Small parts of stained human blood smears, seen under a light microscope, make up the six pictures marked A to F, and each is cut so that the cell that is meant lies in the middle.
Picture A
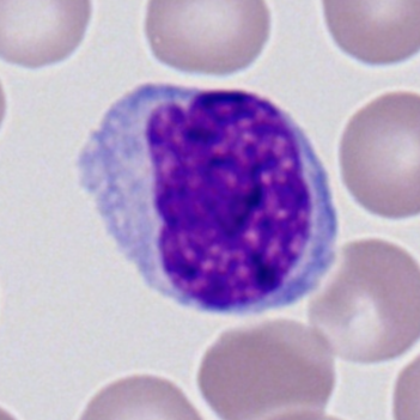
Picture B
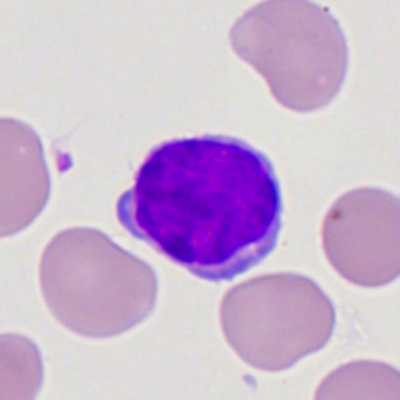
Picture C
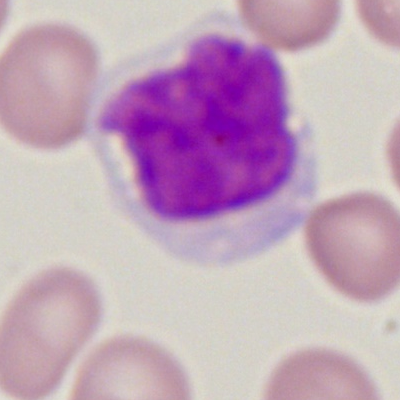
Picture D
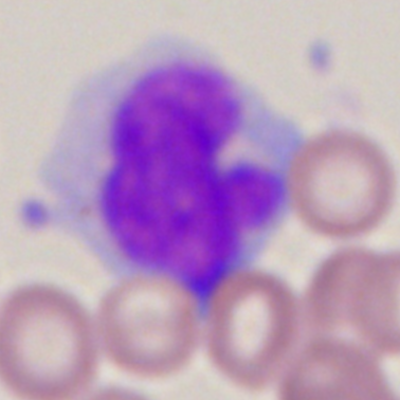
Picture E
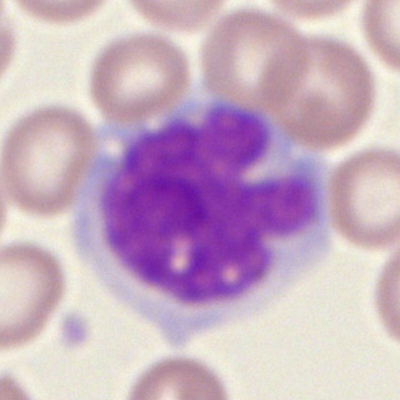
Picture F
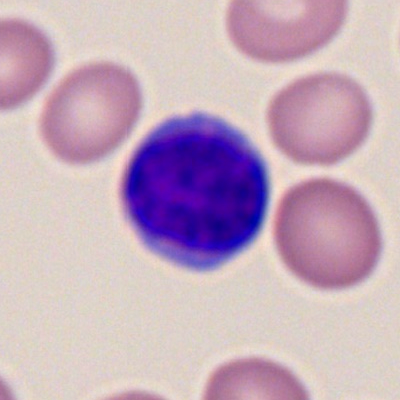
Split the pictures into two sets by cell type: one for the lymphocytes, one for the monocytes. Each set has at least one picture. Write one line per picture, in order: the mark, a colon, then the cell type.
A: monocyte
B: lymphocyte
C: monocyte
D: monocyte
E: monocyte
F: lymphocyte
